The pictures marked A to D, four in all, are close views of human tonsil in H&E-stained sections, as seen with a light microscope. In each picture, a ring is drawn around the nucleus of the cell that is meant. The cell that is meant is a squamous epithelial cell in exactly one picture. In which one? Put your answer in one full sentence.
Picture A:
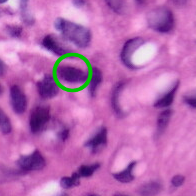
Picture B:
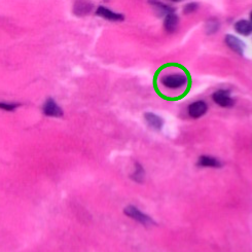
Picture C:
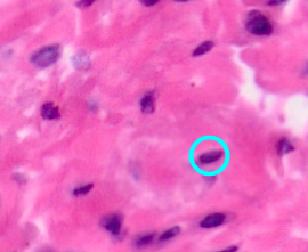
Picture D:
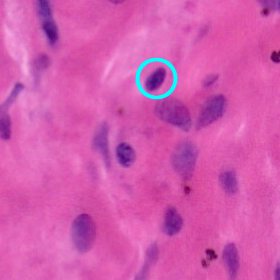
Picture A is the one that shows the squamous epithelial cell.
